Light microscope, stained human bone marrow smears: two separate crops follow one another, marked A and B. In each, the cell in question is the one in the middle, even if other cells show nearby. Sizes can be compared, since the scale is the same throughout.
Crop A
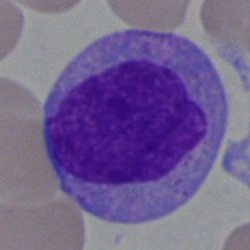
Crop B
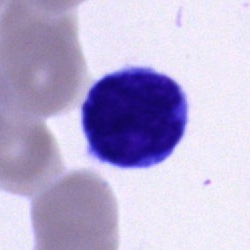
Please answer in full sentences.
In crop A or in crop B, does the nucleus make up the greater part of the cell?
It is the cell in crop B that is filled more by its nucleus.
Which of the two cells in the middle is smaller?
The cell in crop B is smaller; the one in crop A has about 3 times its area.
